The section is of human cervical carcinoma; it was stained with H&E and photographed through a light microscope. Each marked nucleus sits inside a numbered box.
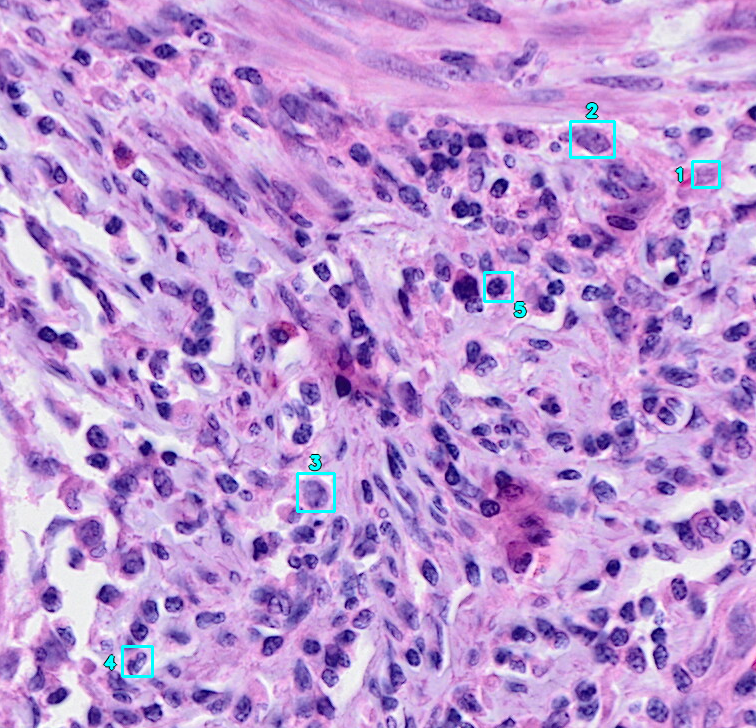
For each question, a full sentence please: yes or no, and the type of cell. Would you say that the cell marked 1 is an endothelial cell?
Yes, on this slide, the cell with number 1 is an endothelial cell.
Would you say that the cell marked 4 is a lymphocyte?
Yes, cell number 4 is identified here as a lymphocyte.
